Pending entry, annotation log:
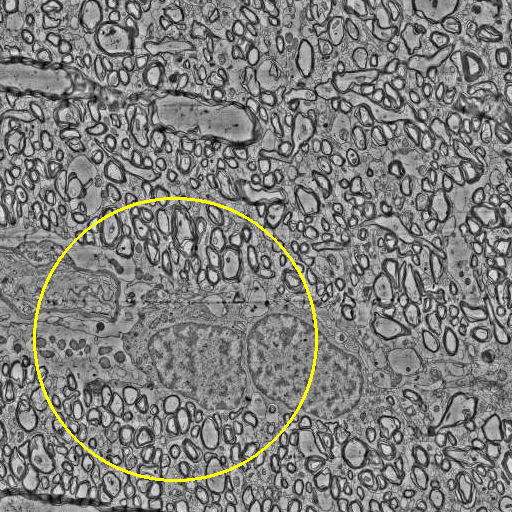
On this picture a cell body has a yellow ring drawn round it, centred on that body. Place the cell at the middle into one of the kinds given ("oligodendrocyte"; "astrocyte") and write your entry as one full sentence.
The cell body at the middle of the yellow ring belongs to an oligodendrocyte.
